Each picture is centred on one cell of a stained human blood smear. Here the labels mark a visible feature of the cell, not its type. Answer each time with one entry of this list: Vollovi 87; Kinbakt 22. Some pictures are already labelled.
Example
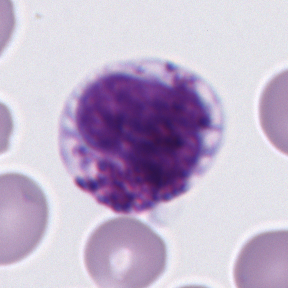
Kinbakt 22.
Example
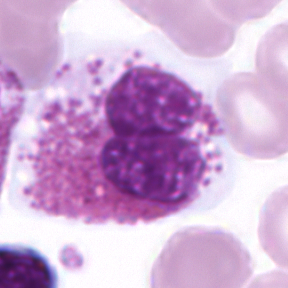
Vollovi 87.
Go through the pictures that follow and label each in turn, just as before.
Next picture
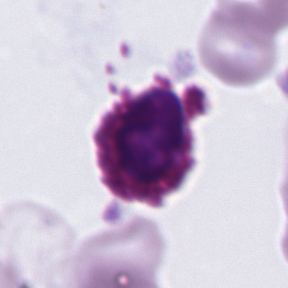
Vollovi 87.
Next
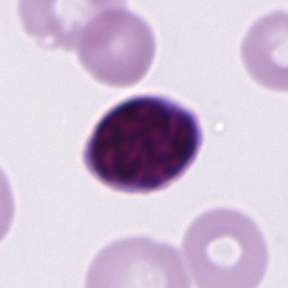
Kinbakt 22.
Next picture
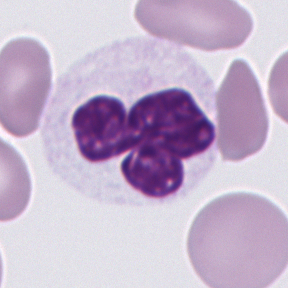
Kinbakt 22.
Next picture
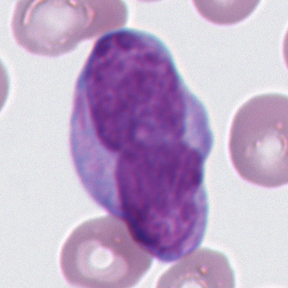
Kinbakt 22.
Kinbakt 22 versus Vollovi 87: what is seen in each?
Kinbakt 22: smooth outline; Vollovi 87: ragged outline or projections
